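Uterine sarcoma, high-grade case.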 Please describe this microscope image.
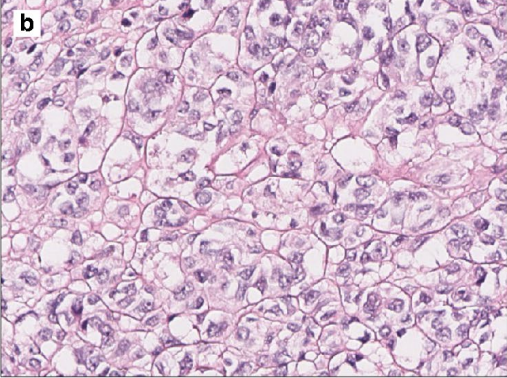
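The cells are polygonal to round, with pale, often clear or vacuolated cytoplasm. Thin pink septa outline individual cells or small groups, giving a nested, lattice-like look. The nuclei are round to oval, fairly similar to one another, with fine chromatin and visible nucleoli.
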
